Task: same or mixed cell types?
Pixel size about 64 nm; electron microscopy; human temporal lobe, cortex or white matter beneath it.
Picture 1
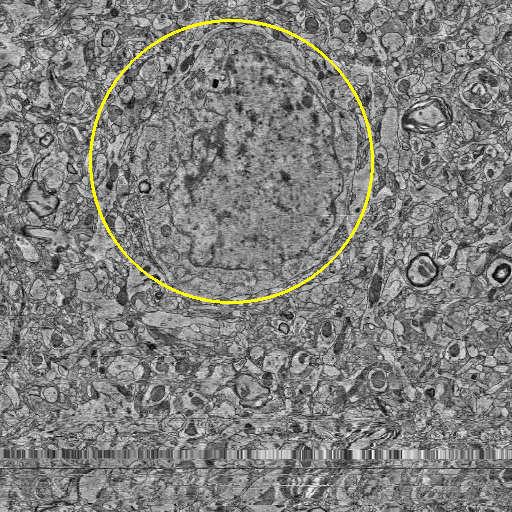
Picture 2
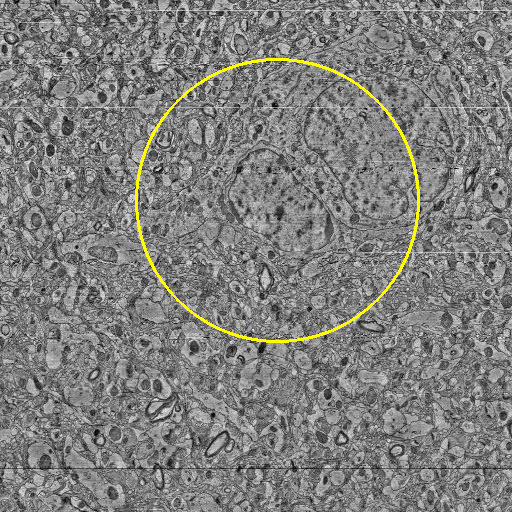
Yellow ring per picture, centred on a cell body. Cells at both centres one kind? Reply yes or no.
no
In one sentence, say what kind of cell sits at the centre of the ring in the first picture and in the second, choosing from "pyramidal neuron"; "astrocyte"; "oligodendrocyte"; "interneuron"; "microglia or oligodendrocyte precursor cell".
The first picture's ringed cell is an interneuron, while the second picture's is a microglial cell or oligodendrocyte precursor cell.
